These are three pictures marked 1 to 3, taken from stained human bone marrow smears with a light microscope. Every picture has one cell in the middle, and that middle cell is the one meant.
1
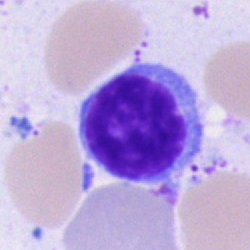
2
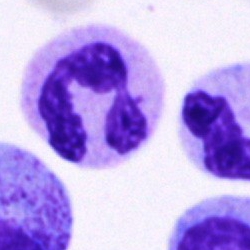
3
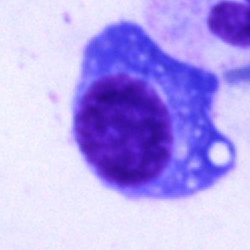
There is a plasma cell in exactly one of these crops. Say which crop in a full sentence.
Crop 3 is the one depicting a plasma cell.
